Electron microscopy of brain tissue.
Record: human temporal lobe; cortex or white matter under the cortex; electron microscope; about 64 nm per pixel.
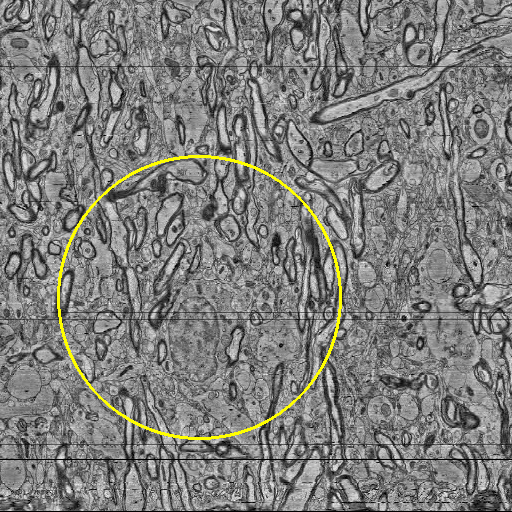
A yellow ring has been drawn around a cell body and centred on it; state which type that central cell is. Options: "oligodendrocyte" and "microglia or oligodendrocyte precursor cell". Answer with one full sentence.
The cell at the middle of the yellow ring is an oligodendrocyte in this picture.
